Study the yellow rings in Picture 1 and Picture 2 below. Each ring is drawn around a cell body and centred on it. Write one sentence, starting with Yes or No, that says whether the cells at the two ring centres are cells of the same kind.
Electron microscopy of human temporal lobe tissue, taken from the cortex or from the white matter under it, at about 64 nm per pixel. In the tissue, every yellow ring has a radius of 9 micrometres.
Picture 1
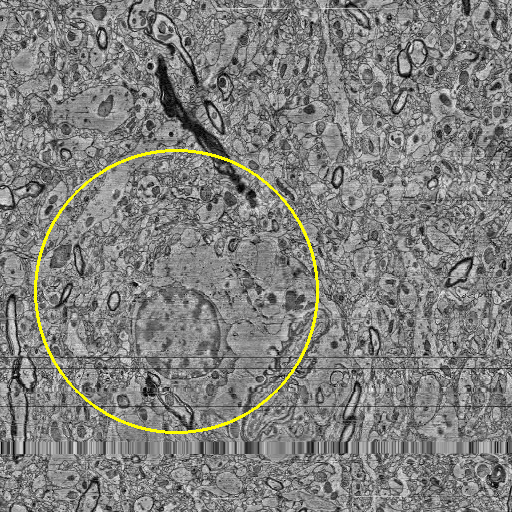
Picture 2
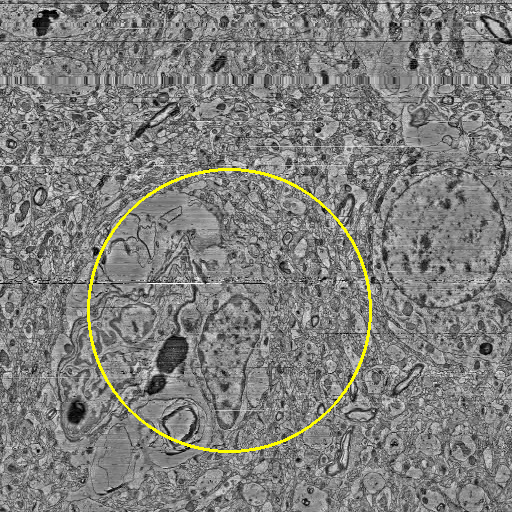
No, the cells at the ring centres are of two kinds.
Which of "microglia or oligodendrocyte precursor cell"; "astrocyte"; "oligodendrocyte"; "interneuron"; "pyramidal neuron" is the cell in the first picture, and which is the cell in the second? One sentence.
The two differ: the first cell is an oligodendrocyte and the second is a microglial cell or oligodendrocyte precursor cell.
